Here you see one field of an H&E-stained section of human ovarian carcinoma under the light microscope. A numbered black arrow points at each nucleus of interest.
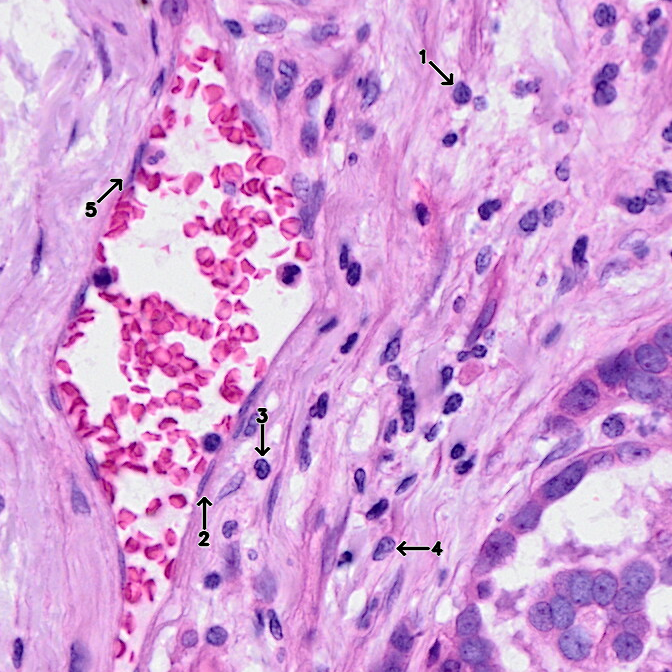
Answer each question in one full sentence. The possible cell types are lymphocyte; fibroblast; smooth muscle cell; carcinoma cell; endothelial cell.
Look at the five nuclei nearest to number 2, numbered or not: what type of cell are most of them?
Lymphocytes account for more than half of the five nuclei nearest to number 2.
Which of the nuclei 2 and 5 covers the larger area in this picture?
Nucleus 5 is larger, with an area about 2 times that of nucleus 2.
